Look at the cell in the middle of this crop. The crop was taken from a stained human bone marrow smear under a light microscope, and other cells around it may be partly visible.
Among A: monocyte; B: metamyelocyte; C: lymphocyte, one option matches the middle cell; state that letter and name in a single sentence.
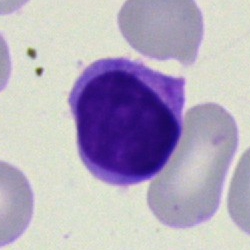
Option C is the correct selection, for the cell at the centre is a lymphocyte.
